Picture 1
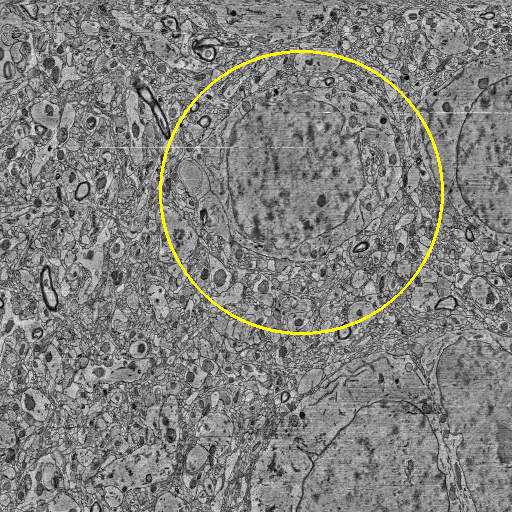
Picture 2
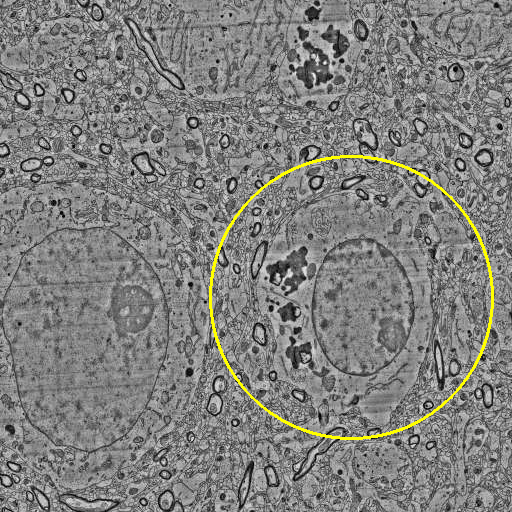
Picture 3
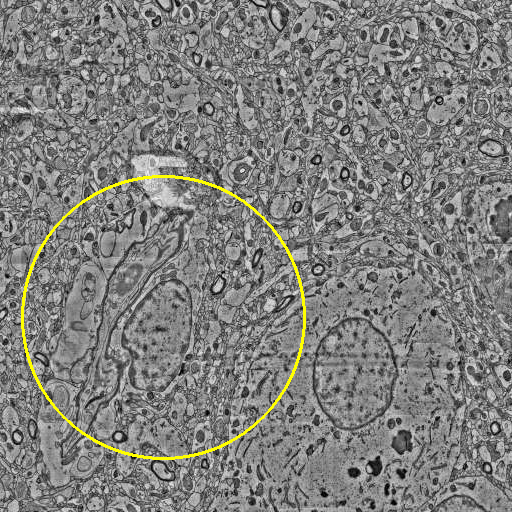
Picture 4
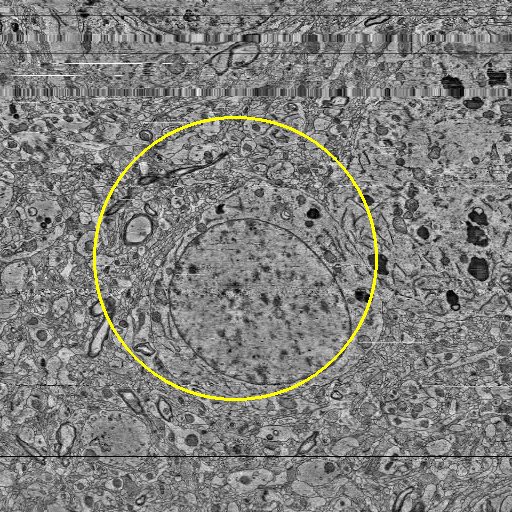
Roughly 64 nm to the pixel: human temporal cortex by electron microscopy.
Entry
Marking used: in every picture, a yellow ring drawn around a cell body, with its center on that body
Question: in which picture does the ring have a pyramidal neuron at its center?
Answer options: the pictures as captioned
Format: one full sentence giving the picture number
Picture 4 is where the ring's center falls on the requested cell.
